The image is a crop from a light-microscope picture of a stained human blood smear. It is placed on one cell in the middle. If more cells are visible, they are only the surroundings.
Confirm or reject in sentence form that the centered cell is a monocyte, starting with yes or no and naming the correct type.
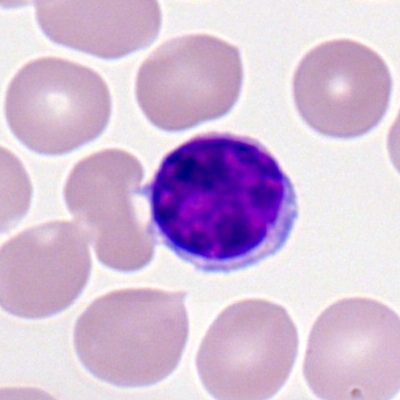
No, the cell positioned in the middle is a lymphocyte, not a monocyte.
